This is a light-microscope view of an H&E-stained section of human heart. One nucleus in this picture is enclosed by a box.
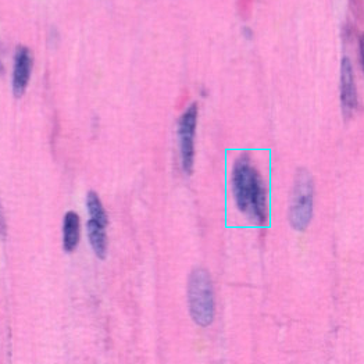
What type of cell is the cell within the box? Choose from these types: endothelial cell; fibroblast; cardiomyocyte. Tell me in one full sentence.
With respect to cell type, the cell within the box is an endothelial cell.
